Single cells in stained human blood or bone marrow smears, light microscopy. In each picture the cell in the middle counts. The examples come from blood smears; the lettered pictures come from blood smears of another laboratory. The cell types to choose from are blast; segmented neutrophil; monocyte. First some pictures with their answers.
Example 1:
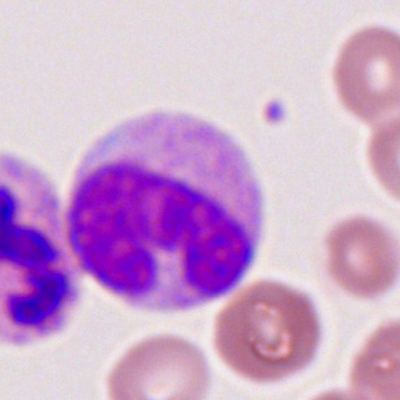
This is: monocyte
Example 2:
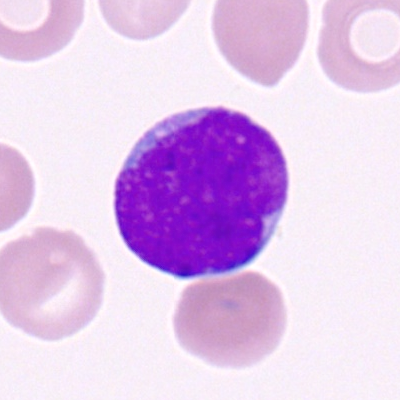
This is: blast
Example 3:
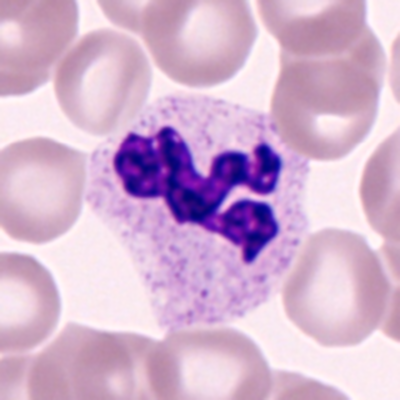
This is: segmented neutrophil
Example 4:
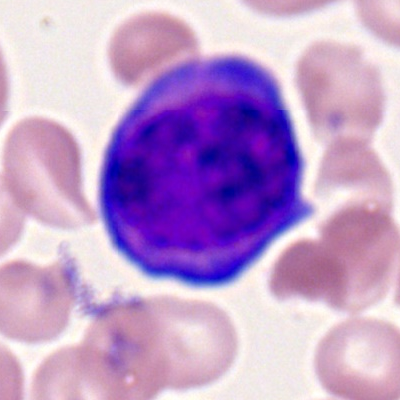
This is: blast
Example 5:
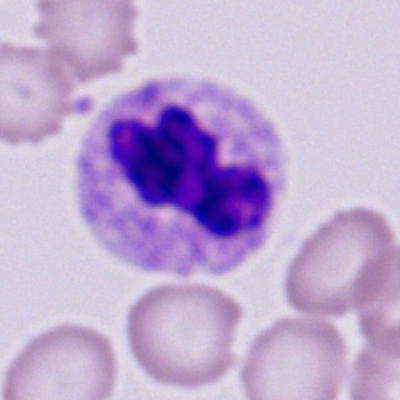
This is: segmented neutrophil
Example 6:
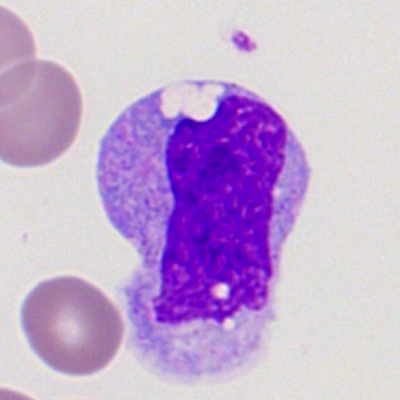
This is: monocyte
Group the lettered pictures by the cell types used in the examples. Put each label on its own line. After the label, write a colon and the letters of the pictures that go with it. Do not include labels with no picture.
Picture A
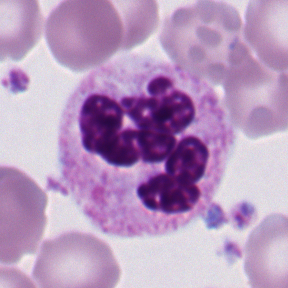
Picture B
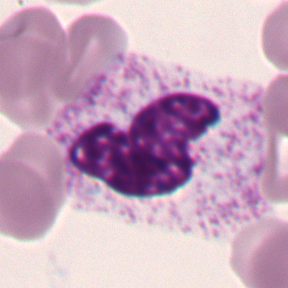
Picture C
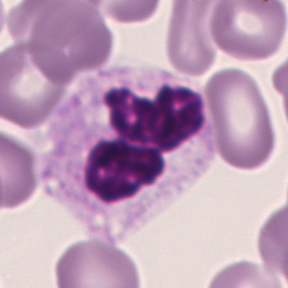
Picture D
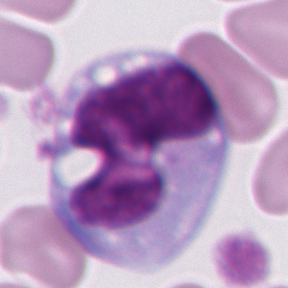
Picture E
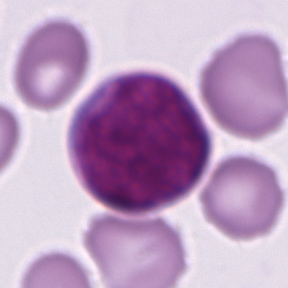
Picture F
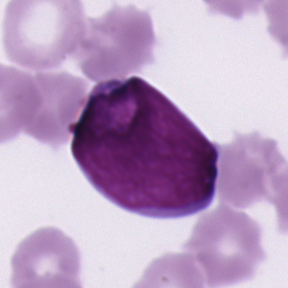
blast: E, F
segmented neutrophil: A, B, C
monocyte: D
